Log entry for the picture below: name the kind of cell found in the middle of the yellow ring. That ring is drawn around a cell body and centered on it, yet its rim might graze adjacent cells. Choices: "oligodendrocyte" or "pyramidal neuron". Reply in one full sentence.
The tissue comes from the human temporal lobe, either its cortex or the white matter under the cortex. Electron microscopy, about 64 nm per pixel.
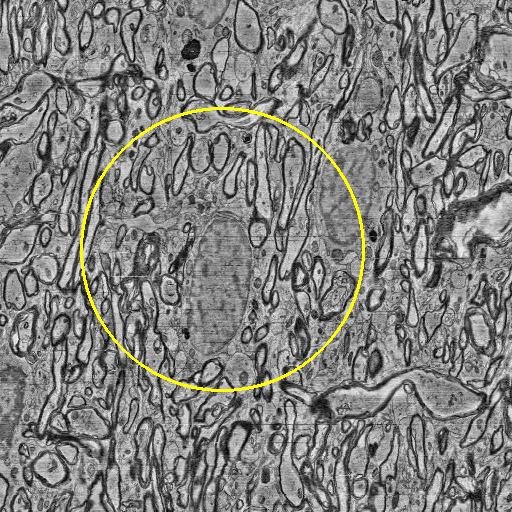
The cell in the middle of the yellow ring in this picture is an oligodendrocyte.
